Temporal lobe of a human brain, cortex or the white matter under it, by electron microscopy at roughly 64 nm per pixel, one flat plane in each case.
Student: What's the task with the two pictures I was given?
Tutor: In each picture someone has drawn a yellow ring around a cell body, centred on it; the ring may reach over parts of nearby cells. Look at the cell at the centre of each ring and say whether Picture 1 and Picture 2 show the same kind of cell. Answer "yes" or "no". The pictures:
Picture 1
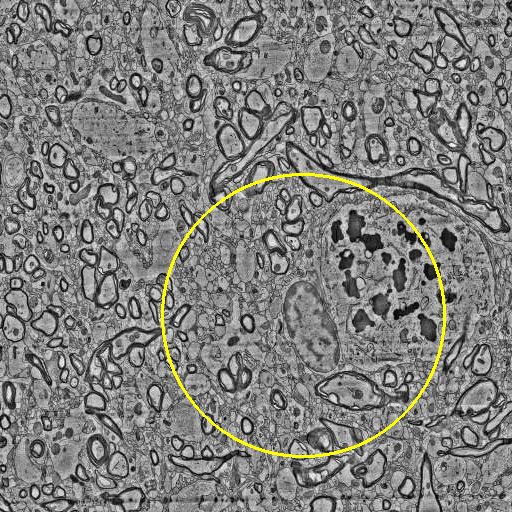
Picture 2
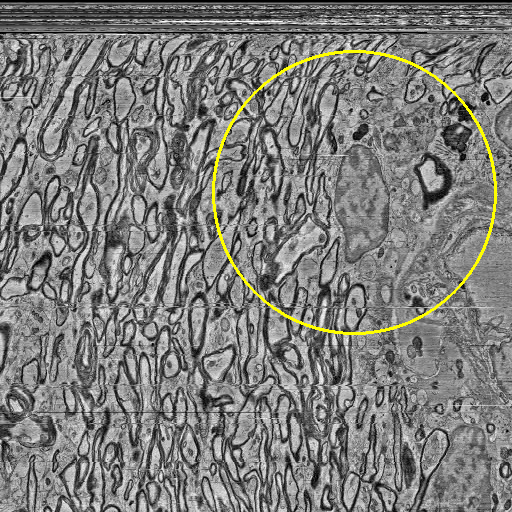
yes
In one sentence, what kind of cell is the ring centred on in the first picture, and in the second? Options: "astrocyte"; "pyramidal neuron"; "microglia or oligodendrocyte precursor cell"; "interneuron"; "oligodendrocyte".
The ring centre holds a microglial cell or oligodendrocyte precursor cell in each of the two pictures.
